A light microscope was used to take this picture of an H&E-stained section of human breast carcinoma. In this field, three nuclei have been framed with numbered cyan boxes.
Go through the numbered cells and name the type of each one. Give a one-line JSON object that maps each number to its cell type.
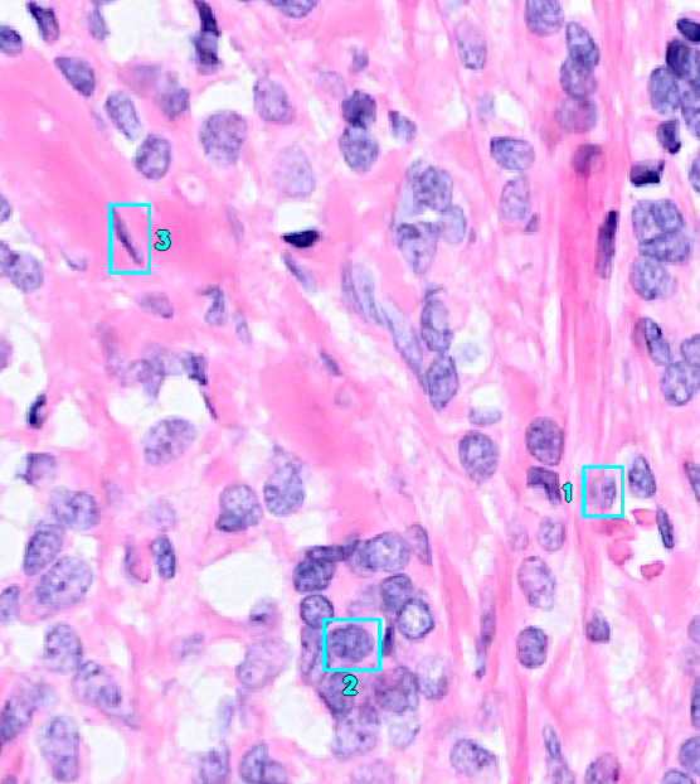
{"1": "endothelial cell", "2": "carcinoma cell", "3": "fibroblast"}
